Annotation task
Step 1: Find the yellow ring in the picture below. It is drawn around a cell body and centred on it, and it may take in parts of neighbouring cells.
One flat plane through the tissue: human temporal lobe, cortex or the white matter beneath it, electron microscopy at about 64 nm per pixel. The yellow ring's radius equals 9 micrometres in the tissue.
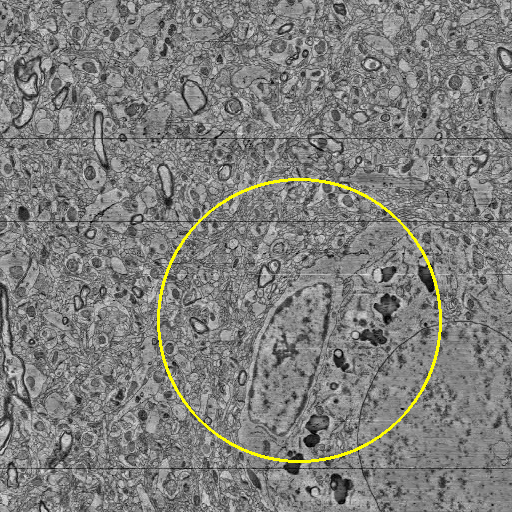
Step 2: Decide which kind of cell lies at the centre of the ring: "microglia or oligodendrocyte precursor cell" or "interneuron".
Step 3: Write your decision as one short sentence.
The kind of cell at the ring's centre is a microglial cell or oligodendrocyte precursor cell.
